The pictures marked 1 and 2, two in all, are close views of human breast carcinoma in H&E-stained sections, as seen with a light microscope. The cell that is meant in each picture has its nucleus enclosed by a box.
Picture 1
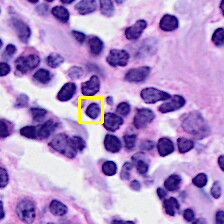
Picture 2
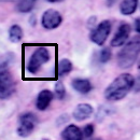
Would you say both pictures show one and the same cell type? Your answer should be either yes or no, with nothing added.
yes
